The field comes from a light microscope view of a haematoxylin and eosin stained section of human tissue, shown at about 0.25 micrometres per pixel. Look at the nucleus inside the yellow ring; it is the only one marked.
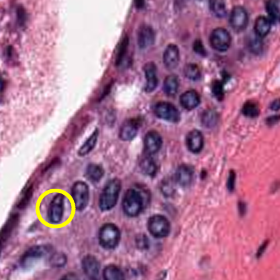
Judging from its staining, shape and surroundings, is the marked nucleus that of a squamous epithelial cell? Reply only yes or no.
yes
